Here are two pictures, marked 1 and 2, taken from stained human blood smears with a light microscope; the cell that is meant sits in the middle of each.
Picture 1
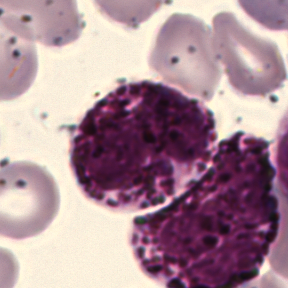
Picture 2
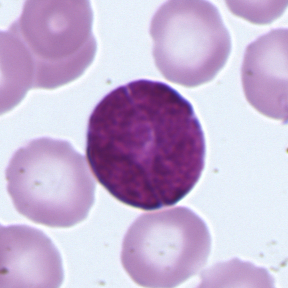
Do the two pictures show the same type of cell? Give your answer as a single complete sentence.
No. Picture 1 shows a basophil, but picture 2 shows a myeloblast.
